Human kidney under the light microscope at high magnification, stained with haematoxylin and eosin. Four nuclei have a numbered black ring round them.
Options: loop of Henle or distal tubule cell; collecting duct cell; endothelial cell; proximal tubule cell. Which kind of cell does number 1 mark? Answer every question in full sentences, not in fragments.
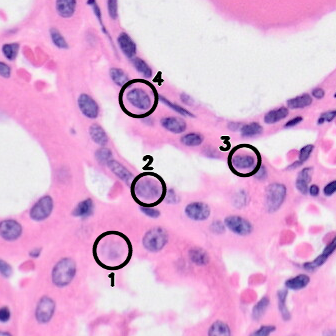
The nucleus labeled 1 belongs to a proximal tubule cell.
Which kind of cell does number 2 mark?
Recognised here as a collecting duct cell is the cell numbered 2.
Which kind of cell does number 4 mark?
Cell number 4 in this section is a collecting duct cell.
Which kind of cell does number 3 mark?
Corresponding to a collecting duct cell is the cell labelled 3.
